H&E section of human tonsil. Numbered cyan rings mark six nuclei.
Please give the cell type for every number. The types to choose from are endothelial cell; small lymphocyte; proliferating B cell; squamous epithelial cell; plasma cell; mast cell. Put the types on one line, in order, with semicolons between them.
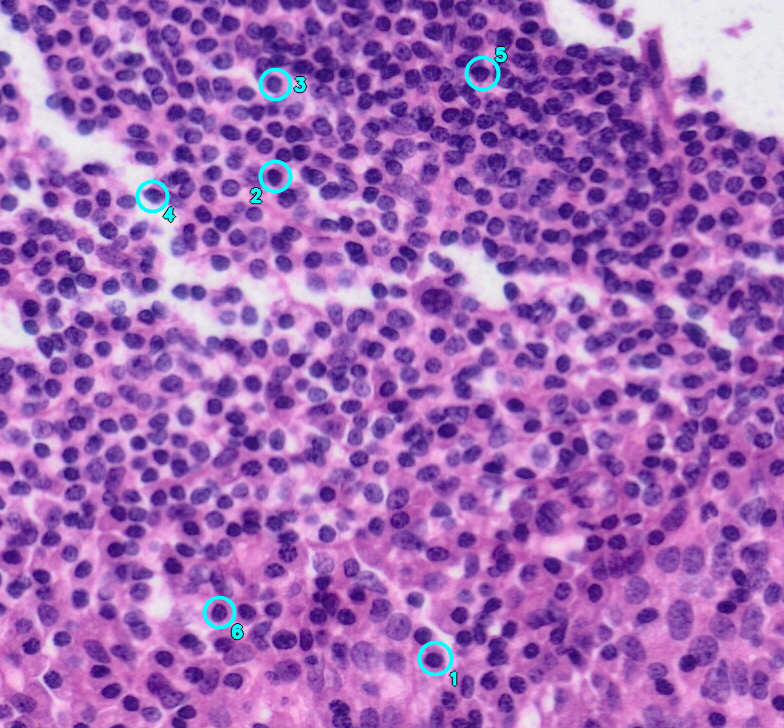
plasma cell; small lymphocyte; small lymphocyte; small lymphocyte; small lymphocyte; plasma cell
